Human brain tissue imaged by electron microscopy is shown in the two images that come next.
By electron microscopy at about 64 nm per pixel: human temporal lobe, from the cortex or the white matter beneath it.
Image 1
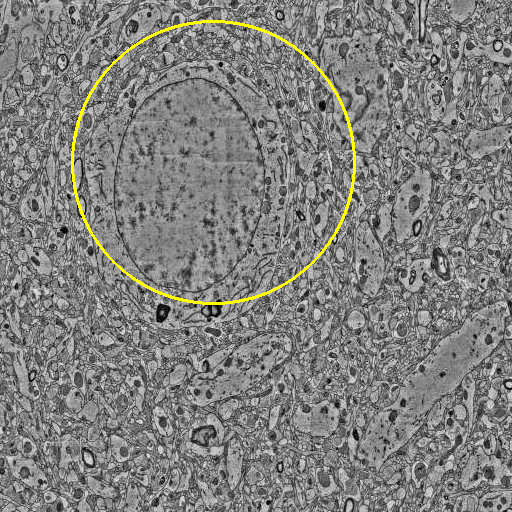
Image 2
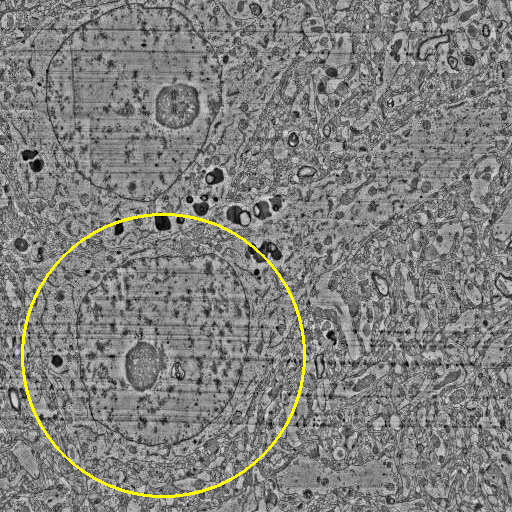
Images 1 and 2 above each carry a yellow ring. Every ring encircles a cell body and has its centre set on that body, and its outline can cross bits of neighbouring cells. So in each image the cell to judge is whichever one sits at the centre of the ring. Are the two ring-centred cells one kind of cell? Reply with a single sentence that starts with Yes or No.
Yes, in Image 1 and Image 2 the cells at the centres of their rings fall into one type.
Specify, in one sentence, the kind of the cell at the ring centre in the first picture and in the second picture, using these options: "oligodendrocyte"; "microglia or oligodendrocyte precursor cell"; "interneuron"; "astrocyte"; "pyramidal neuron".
The first and the second cell are each a pyramidal neuron.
